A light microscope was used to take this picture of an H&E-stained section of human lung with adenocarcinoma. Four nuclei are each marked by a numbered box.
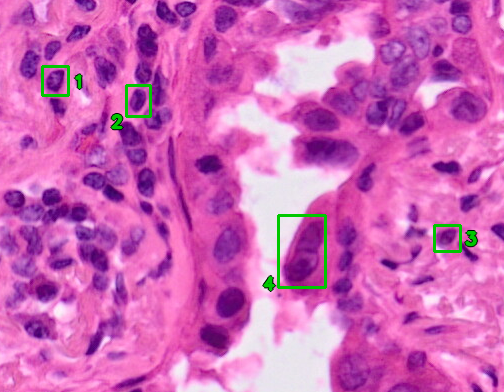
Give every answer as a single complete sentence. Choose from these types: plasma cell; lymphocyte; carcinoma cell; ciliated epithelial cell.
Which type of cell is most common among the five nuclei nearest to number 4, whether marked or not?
Around number 4, most of the five nearest nuclei are those of ciliated epithelial cells.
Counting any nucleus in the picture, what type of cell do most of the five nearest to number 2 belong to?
Plasma cells account for more than half of the five nuclei nearest to number 2.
